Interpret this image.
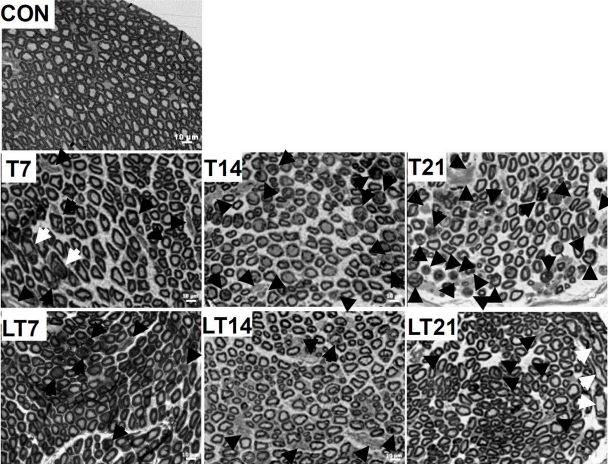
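These are cross sections of peripheral nerve, filled with myelinated axons cut across. In the top image the fibres are packed closely, each a dark ring of myelin around a pale axon, evenly spaced with little tissue between them. In the lower images the pattern is less orderly: some rings are thickened, collapsed or filled in dark, and paler gaps open between the fibres.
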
